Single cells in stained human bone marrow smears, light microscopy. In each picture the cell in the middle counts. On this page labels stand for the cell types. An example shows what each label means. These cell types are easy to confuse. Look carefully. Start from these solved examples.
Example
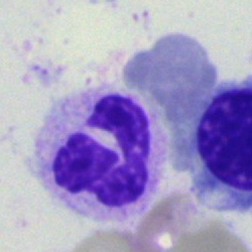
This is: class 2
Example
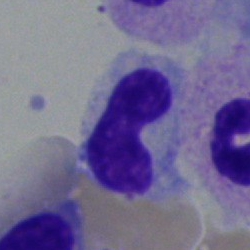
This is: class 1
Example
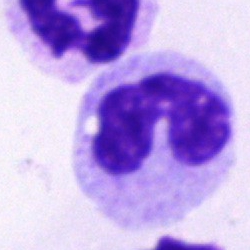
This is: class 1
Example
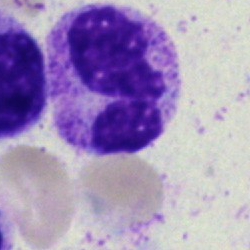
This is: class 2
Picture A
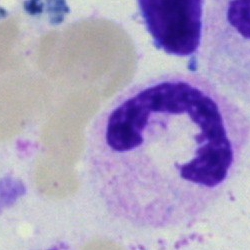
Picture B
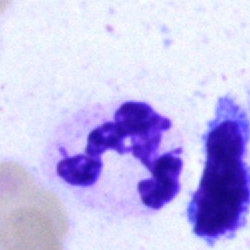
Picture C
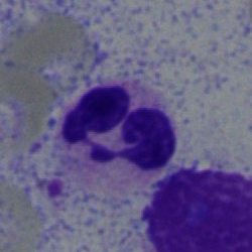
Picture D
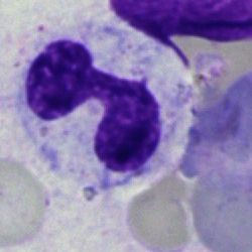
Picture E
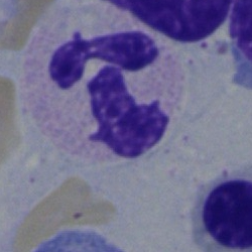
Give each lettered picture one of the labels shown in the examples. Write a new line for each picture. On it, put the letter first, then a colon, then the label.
A: class 2
B: class 2
C: class 2
D: class 2
E: class 2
